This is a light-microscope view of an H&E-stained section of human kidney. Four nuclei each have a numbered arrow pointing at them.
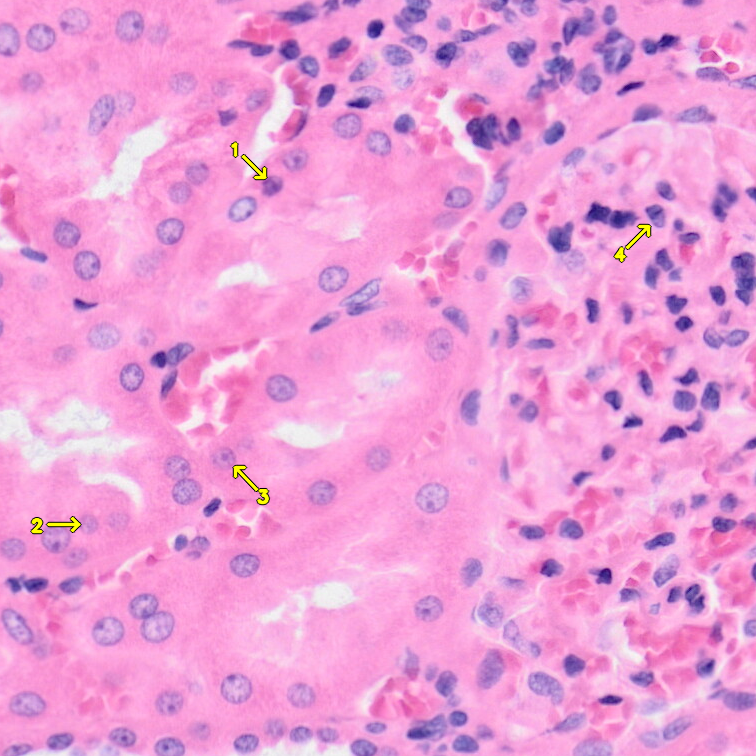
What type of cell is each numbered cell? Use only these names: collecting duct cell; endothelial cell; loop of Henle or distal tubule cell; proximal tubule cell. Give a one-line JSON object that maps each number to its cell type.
{"1": "proximal tubule cell", "2": "proximal tubule cell", "3": "proximal tubule cell", "4": "endothelial cell"}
